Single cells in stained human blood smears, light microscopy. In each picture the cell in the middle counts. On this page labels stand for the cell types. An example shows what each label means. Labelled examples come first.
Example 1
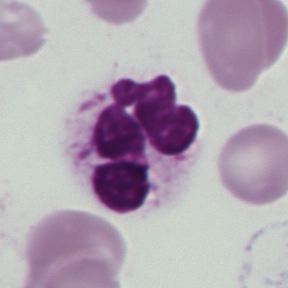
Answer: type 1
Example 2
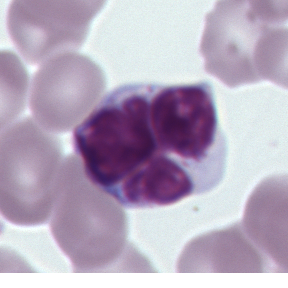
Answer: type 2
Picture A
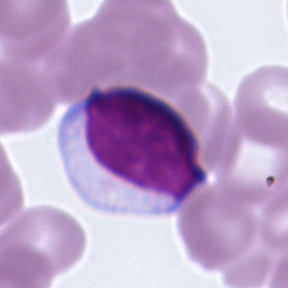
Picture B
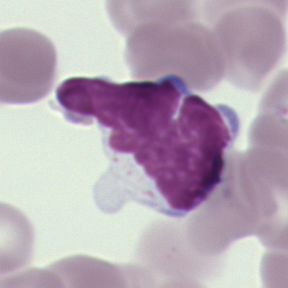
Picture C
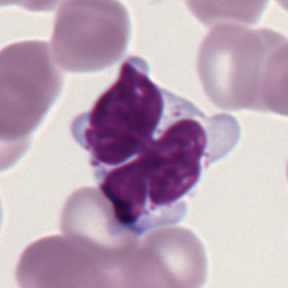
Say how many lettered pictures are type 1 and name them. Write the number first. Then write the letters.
0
